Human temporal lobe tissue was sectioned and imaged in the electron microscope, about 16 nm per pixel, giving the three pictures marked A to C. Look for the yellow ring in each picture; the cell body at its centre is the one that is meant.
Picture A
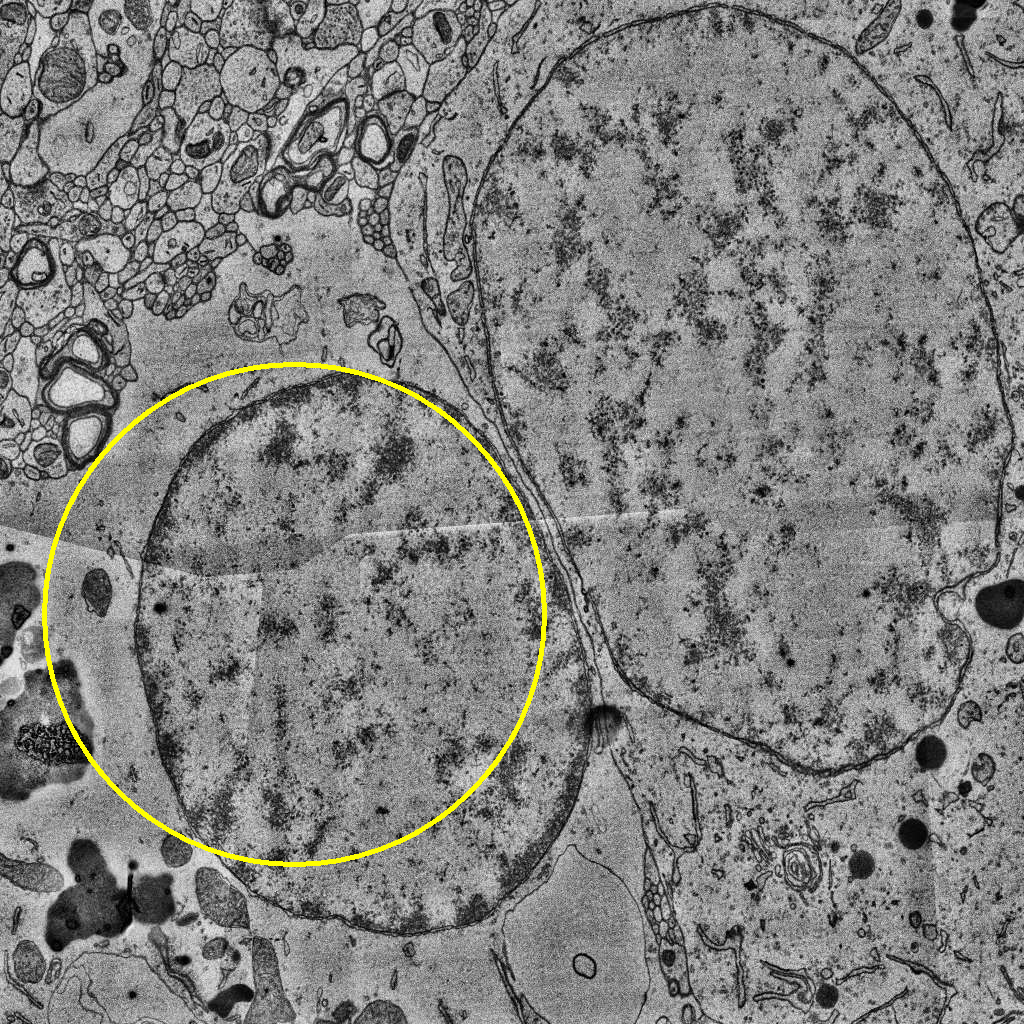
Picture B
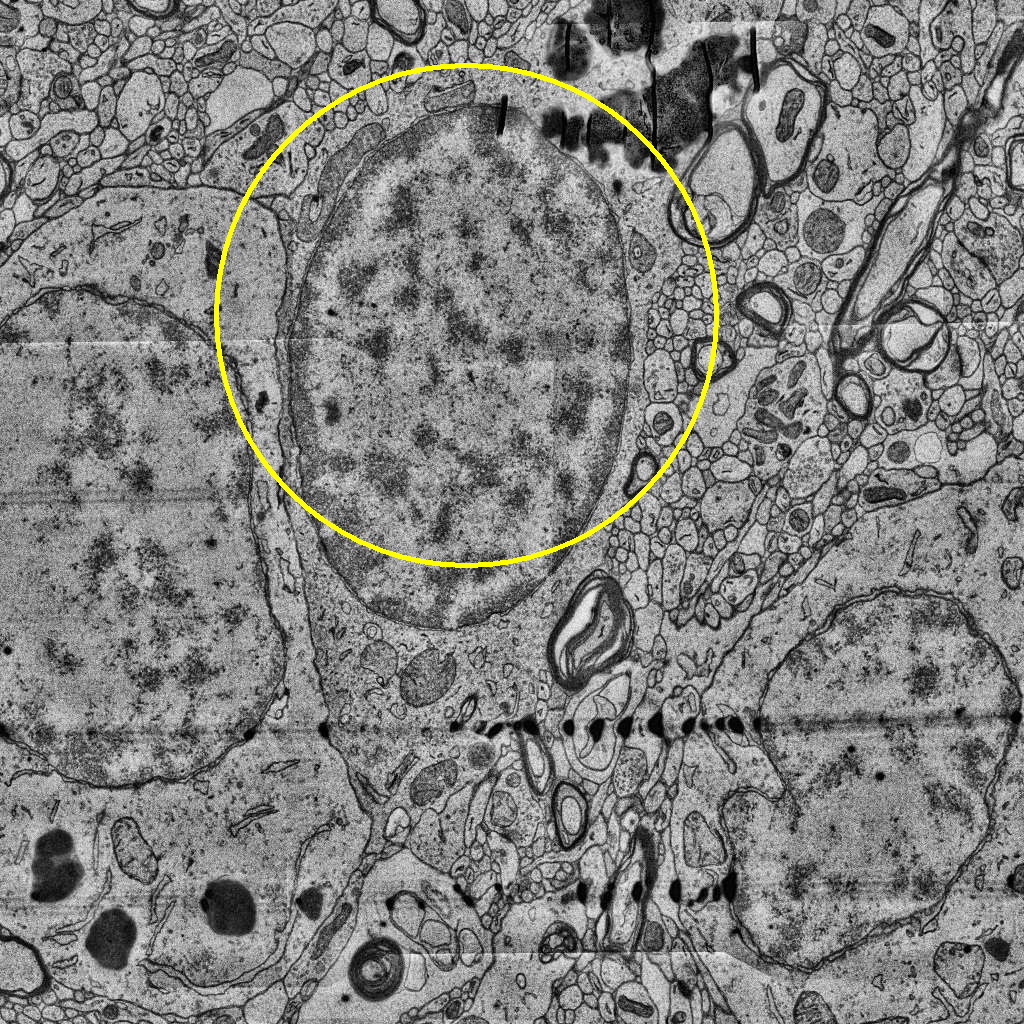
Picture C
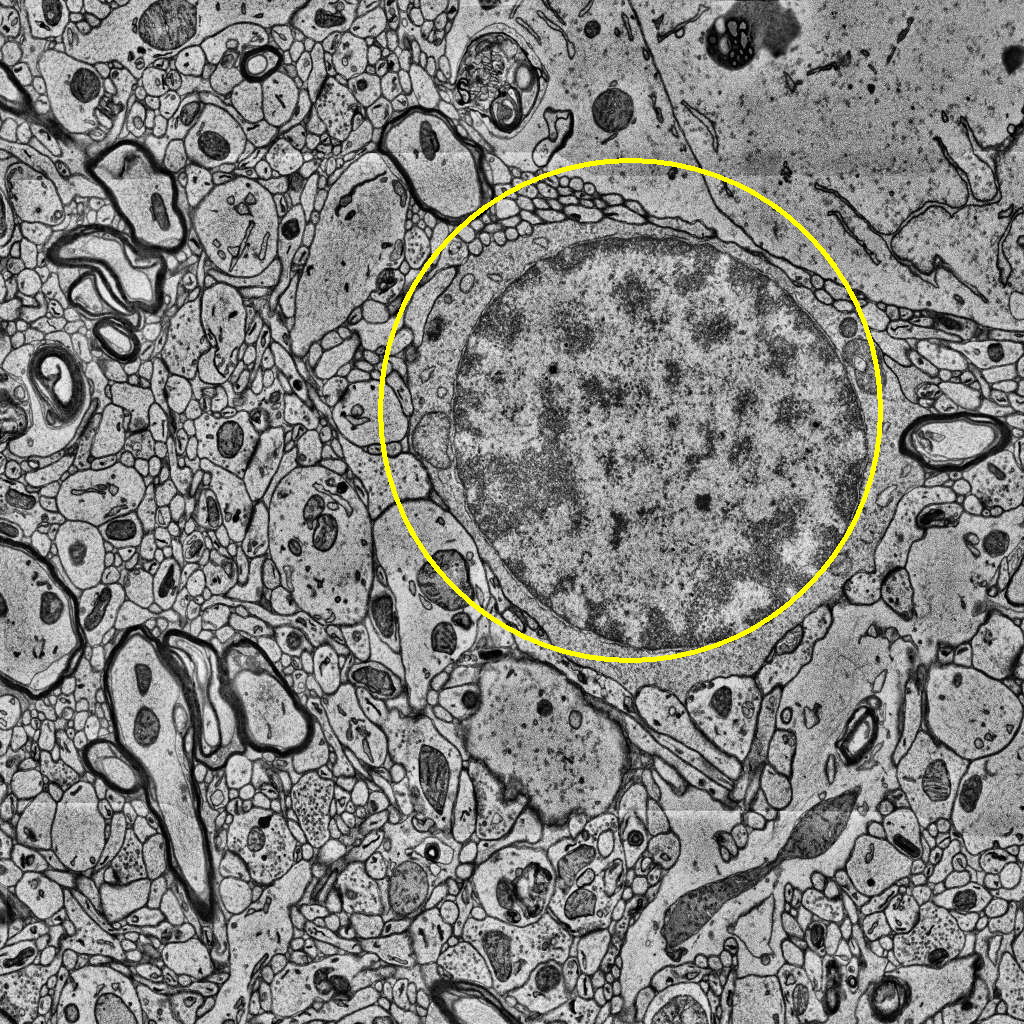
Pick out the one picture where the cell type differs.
The others show oligodendrocytes, but picture A shows an astrocyte.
